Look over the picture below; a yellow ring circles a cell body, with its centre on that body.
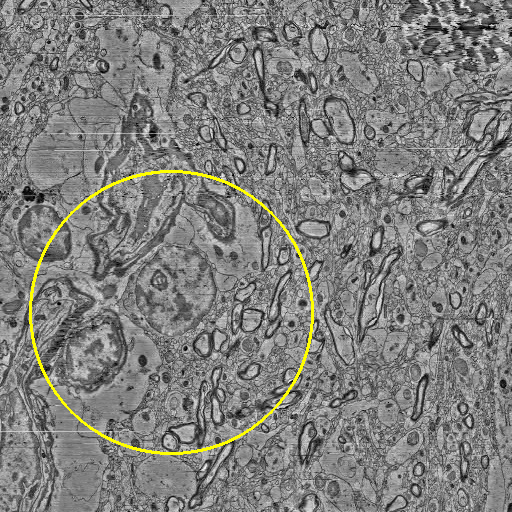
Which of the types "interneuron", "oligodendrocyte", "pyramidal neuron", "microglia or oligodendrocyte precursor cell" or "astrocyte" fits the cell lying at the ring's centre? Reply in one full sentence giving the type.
The picture shows an oligodendrocyte at the centre of the yellow ring.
